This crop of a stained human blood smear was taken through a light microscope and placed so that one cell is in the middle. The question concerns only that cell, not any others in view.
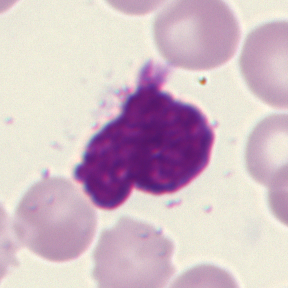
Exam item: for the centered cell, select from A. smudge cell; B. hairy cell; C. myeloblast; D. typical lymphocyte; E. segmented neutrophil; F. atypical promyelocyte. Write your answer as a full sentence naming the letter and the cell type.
Option A is the correct one; it names the central cell as a smudge cell.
